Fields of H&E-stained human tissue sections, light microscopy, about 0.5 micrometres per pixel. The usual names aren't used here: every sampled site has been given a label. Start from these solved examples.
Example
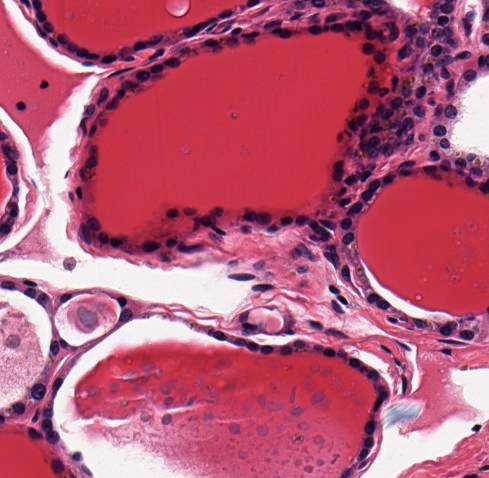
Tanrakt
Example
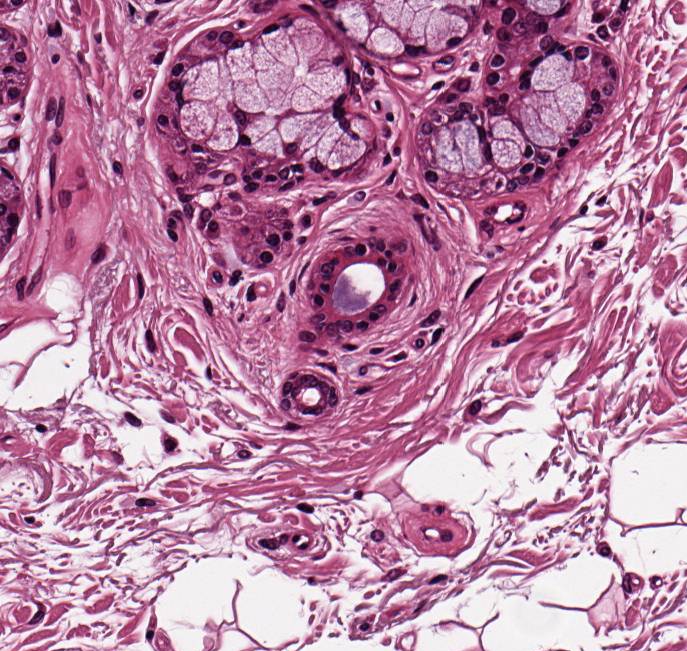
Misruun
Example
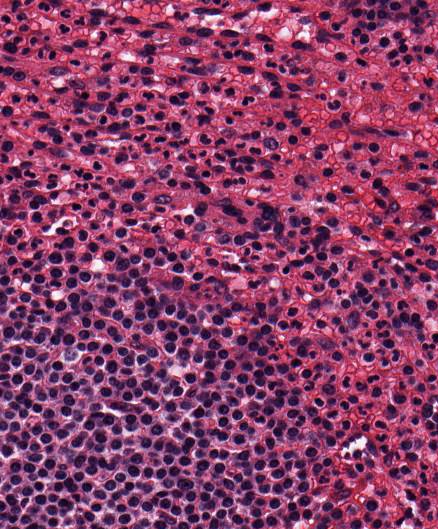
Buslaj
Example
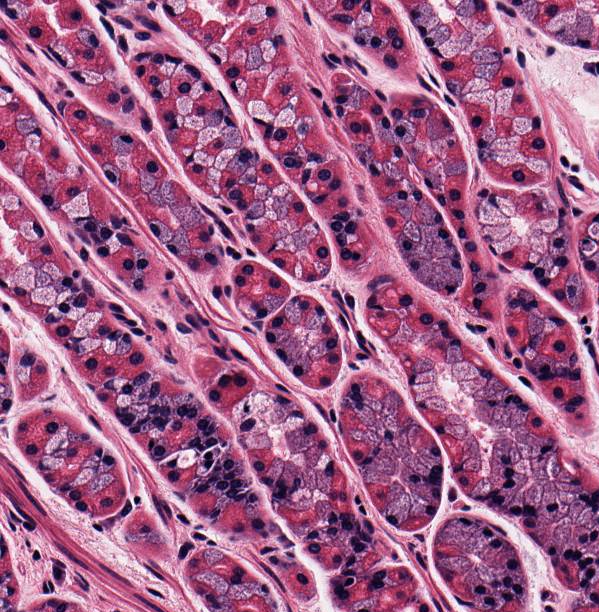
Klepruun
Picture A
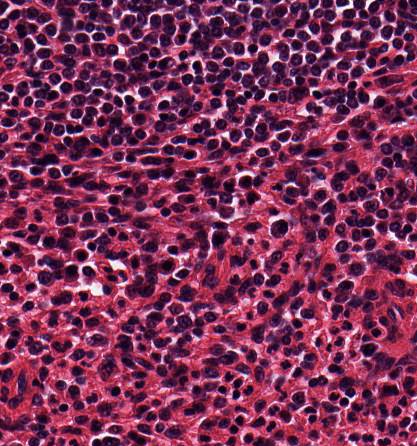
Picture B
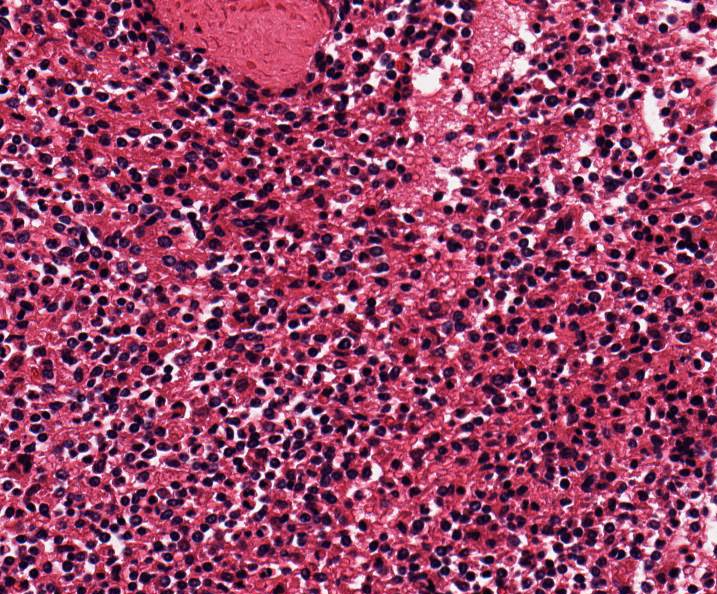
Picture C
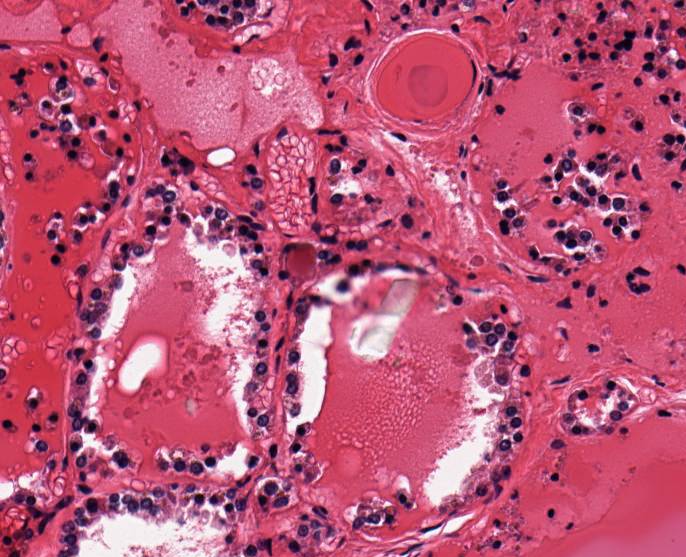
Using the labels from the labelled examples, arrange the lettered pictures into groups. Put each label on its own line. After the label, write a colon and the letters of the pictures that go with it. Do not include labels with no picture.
Tanrakt: C
Buslaj: A, B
